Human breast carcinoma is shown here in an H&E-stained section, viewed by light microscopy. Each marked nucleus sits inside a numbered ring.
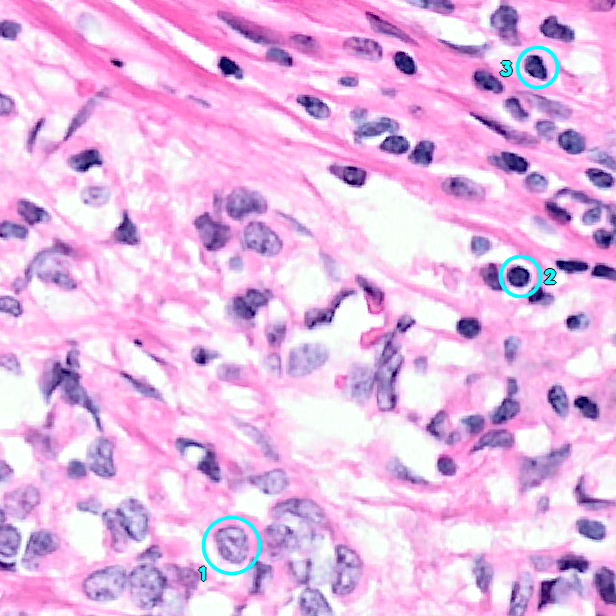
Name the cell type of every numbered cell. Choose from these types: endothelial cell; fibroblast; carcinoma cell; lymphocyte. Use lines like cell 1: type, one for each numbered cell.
cell 1: carcinoma cell
cell 2: lymphocyte
cell 3: lymphocyte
